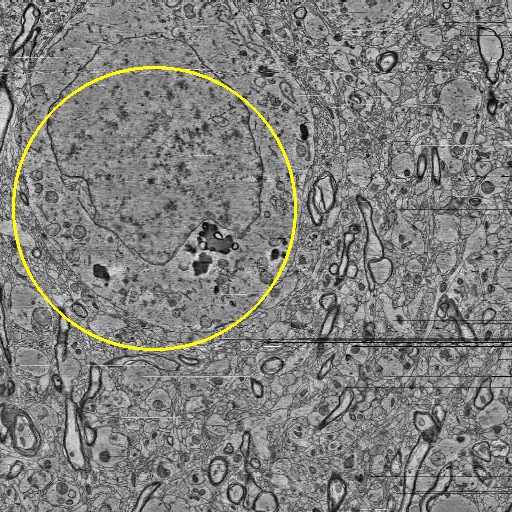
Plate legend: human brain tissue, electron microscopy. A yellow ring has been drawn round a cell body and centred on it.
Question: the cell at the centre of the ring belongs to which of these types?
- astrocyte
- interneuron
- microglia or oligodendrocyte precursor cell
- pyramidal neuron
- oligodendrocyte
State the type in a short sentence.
The cell in the middle of the ring is a pyramidal neuron.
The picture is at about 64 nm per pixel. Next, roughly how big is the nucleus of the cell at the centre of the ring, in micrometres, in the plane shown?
The nucleus is approximately 15 micrometers long by 12 micrometers wide in this plane.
